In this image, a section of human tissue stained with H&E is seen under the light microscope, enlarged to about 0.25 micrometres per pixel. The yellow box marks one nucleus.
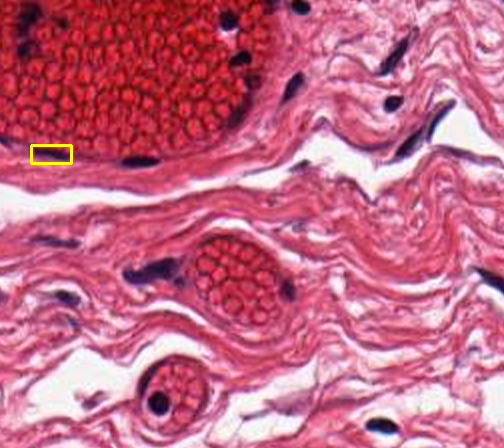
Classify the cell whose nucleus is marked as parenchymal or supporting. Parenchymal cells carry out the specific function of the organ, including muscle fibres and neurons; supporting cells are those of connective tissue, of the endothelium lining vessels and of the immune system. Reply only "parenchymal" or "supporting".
supporting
